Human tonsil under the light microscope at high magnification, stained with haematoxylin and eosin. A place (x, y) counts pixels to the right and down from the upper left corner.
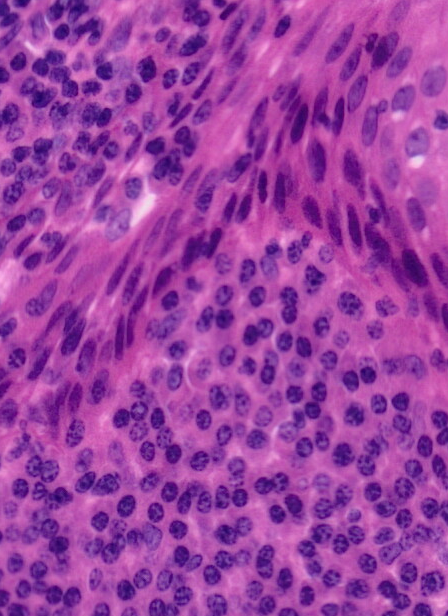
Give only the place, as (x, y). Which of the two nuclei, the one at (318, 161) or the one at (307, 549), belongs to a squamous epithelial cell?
(318, 161)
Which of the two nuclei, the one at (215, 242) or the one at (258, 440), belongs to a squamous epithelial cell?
(215, 242)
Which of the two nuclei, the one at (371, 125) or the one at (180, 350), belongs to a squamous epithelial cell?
(371, 125)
